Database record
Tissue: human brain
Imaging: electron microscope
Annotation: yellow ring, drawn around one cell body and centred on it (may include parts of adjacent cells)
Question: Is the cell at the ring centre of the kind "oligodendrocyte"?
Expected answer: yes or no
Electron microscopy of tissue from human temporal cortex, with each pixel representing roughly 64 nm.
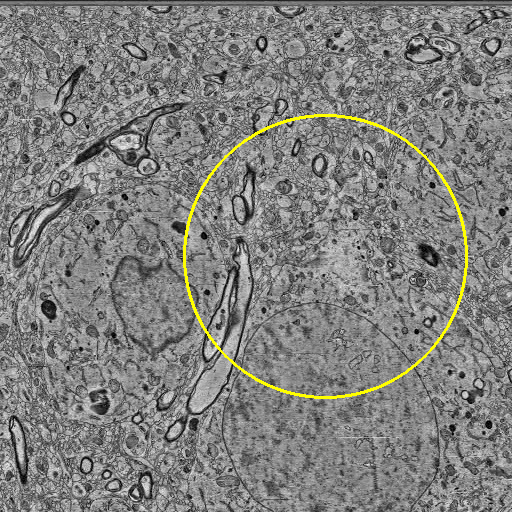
yes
